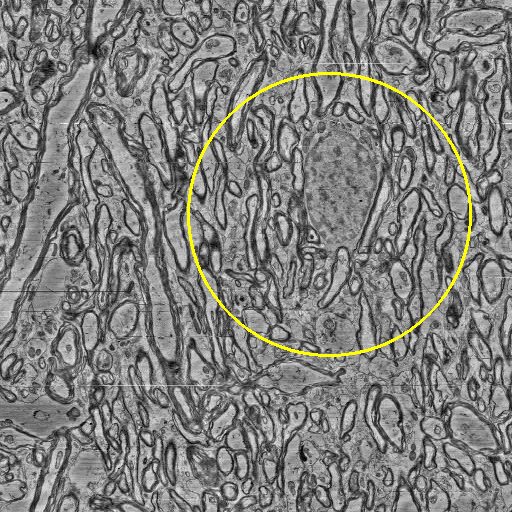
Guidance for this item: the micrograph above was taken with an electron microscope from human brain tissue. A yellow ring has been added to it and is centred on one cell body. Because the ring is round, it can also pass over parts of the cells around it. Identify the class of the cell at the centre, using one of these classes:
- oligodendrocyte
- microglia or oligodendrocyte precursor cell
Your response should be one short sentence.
The ring surrounds the body of an oligodendrocyte.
